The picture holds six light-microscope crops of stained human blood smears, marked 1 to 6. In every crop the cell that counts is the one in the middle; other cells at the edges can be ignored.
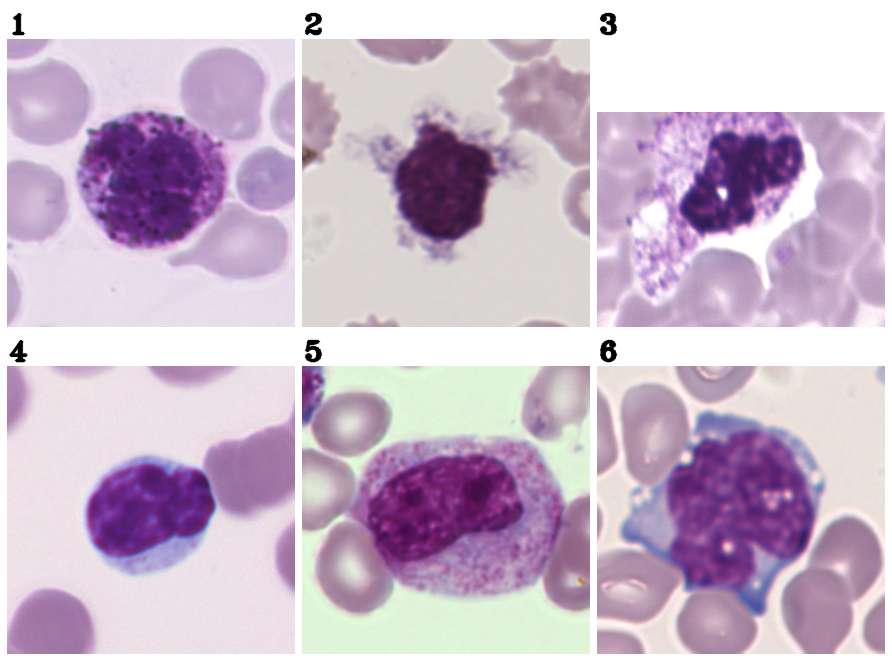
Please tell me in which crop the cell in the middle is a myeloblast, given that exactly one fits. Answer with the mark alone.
6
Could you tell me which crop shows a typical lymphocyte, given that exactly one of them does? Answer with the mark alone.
4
